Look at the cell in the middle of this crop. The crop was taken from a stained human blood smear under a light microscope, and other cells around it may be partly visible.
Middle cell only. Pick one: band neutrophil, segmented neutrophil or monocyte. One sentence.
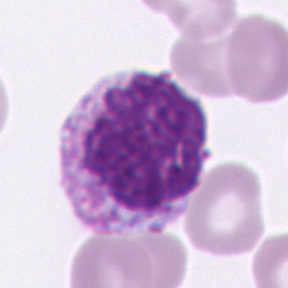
The cell at the middle of the crop is recognized as a band neutrophil.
